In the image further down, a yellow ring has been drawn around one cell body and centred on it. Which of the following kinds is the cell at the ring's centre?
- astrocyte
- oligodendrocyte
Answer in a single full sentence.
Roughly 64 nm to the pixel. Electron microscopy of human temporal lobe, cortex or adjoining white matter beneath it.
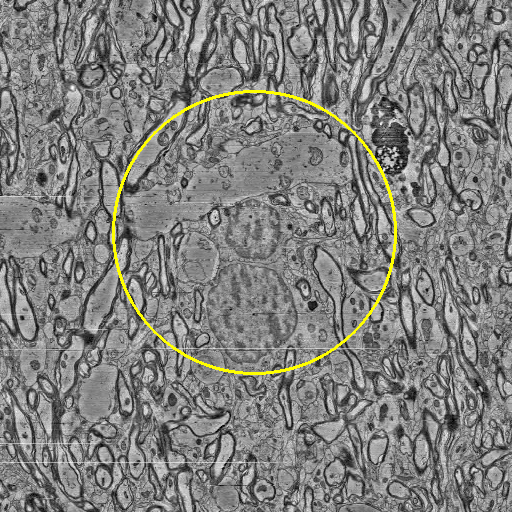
In the picture, the cell sitting at the centre of the yellow ring is an oligodendrocyte.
